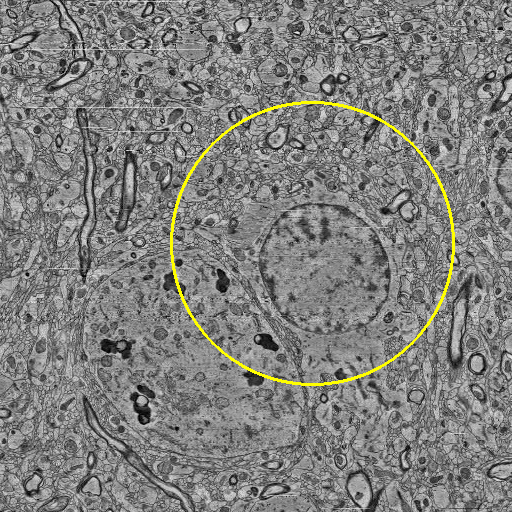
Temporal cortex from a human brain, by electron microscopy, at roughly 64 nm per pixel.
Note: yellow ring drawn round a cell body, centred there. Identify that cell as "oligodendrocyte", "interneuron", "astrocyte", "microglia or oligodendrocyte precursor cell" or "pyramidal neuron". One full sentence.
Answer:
The cell in the middle of the ring is an astrocyte.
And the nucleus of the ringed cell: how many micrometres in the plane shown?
The nucleus is about 8 micrometres across in this plane.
